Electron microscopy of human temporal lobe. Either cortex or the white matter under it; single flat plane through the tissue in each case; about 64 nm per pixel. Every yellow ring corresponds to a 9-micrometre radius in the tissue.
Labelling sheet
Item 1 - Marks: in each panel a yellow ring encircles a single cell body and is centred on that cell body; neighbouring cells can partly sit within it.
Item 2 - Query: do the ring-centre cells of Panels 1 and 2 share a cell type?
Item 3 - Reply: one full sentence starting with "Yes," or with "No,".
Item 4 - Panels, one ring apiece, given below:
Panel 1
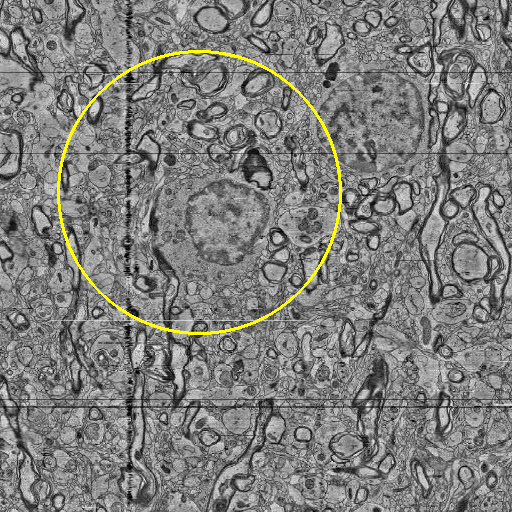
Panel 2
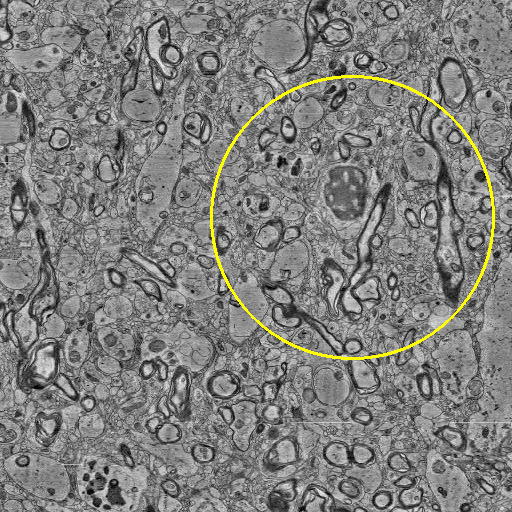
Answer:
No, Panel 1 and Panel 2 show two cell types at the centres of their rings.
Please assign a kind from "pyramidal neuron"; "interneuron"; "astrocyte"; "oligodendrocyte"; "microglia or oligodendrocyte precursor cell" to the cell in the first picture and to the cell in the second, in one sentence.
In the first picture we have an oligodendrocyte, and in the second, a microglial cell or oligodendrocyte precursor cell.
